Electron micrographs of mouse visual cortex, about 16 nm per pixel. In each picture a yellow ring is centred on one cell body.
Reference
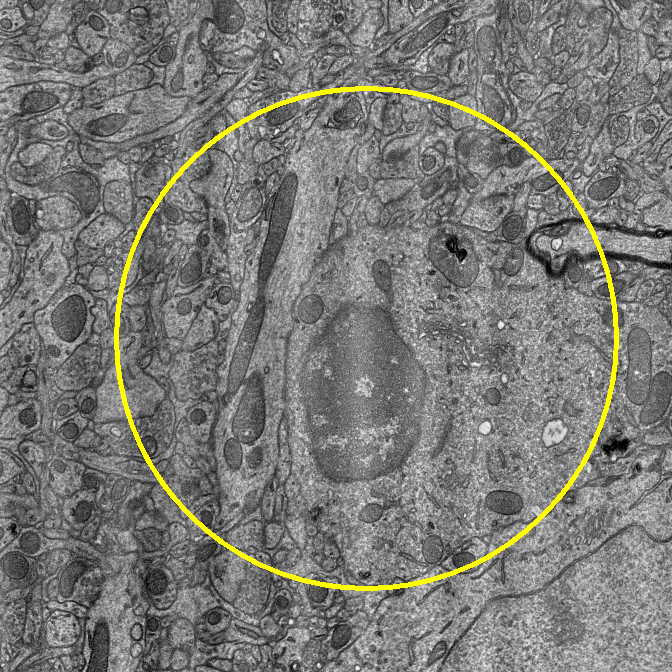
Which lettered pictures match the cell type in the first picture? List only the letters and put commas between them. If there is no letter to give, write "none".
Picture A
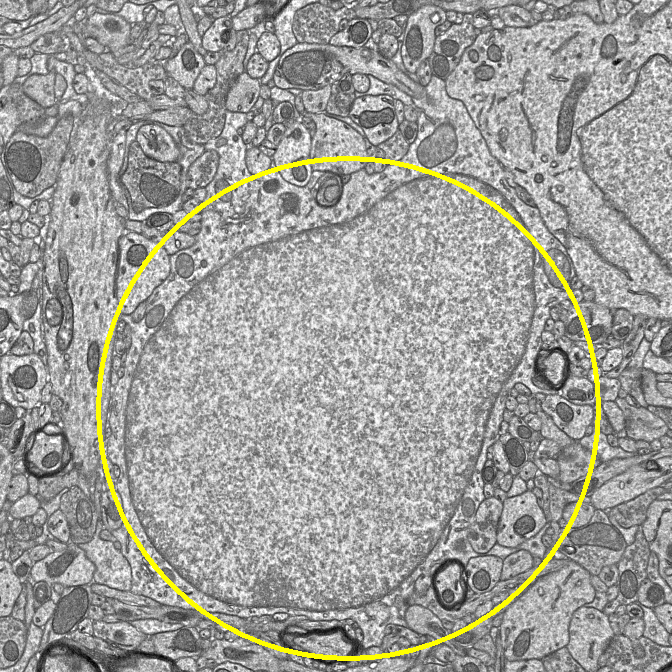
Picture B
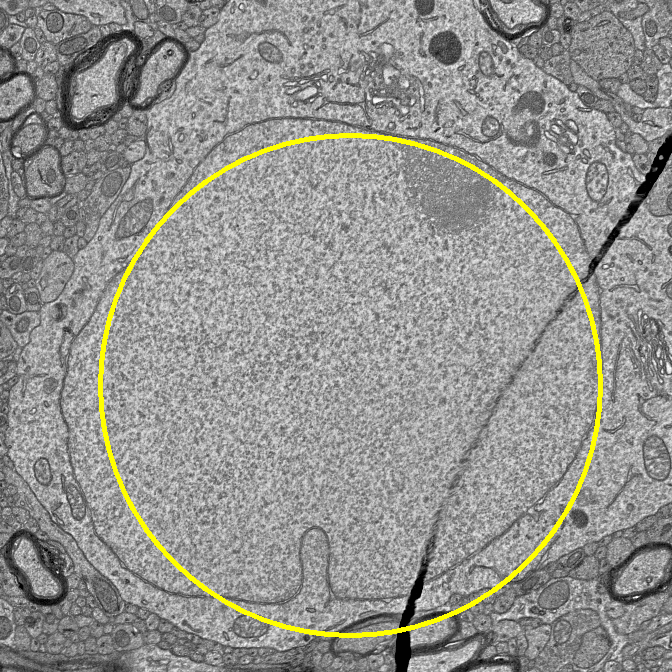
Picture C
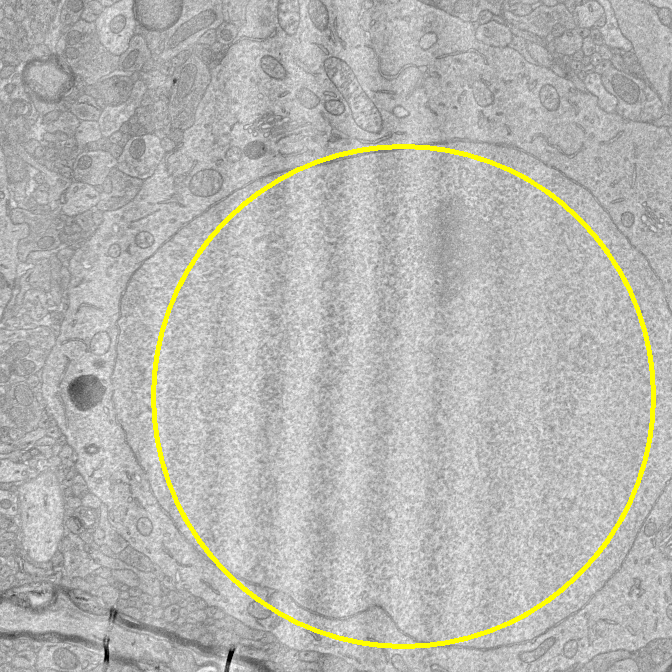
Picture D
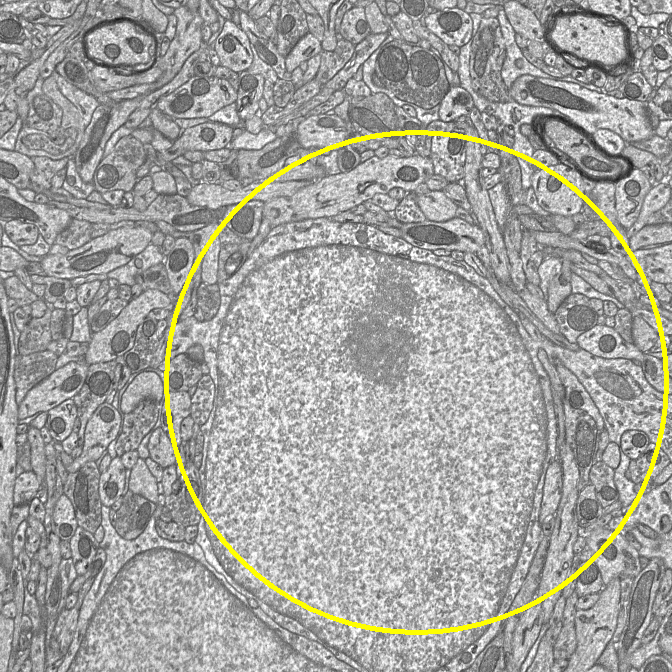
none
